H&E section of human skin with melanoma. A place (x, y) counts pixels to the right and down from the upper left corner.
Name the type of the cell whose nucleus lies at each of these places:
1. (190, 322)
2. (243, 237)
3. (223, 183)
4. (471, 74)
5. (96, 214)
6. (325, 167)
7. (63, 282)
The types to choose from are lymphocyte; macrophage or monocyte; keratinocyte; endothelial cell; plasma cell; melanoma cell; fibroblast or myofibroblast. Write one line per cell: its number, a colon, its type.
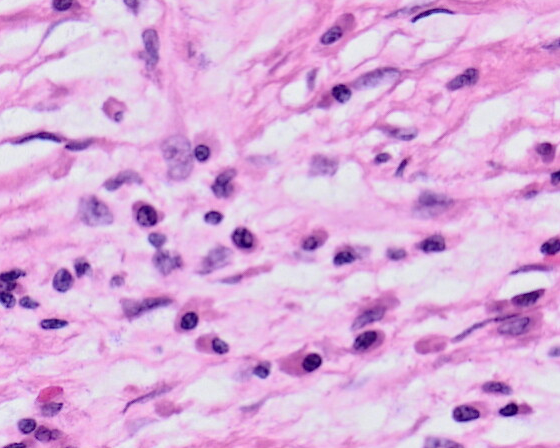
1: plasma cell
2: plasma cell
3: macrophage or monocyte
4: macrophage or monocyte
5: fibroblast or myofibroblast
6: fibroblast or myofibroblast
7: lymphocyte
